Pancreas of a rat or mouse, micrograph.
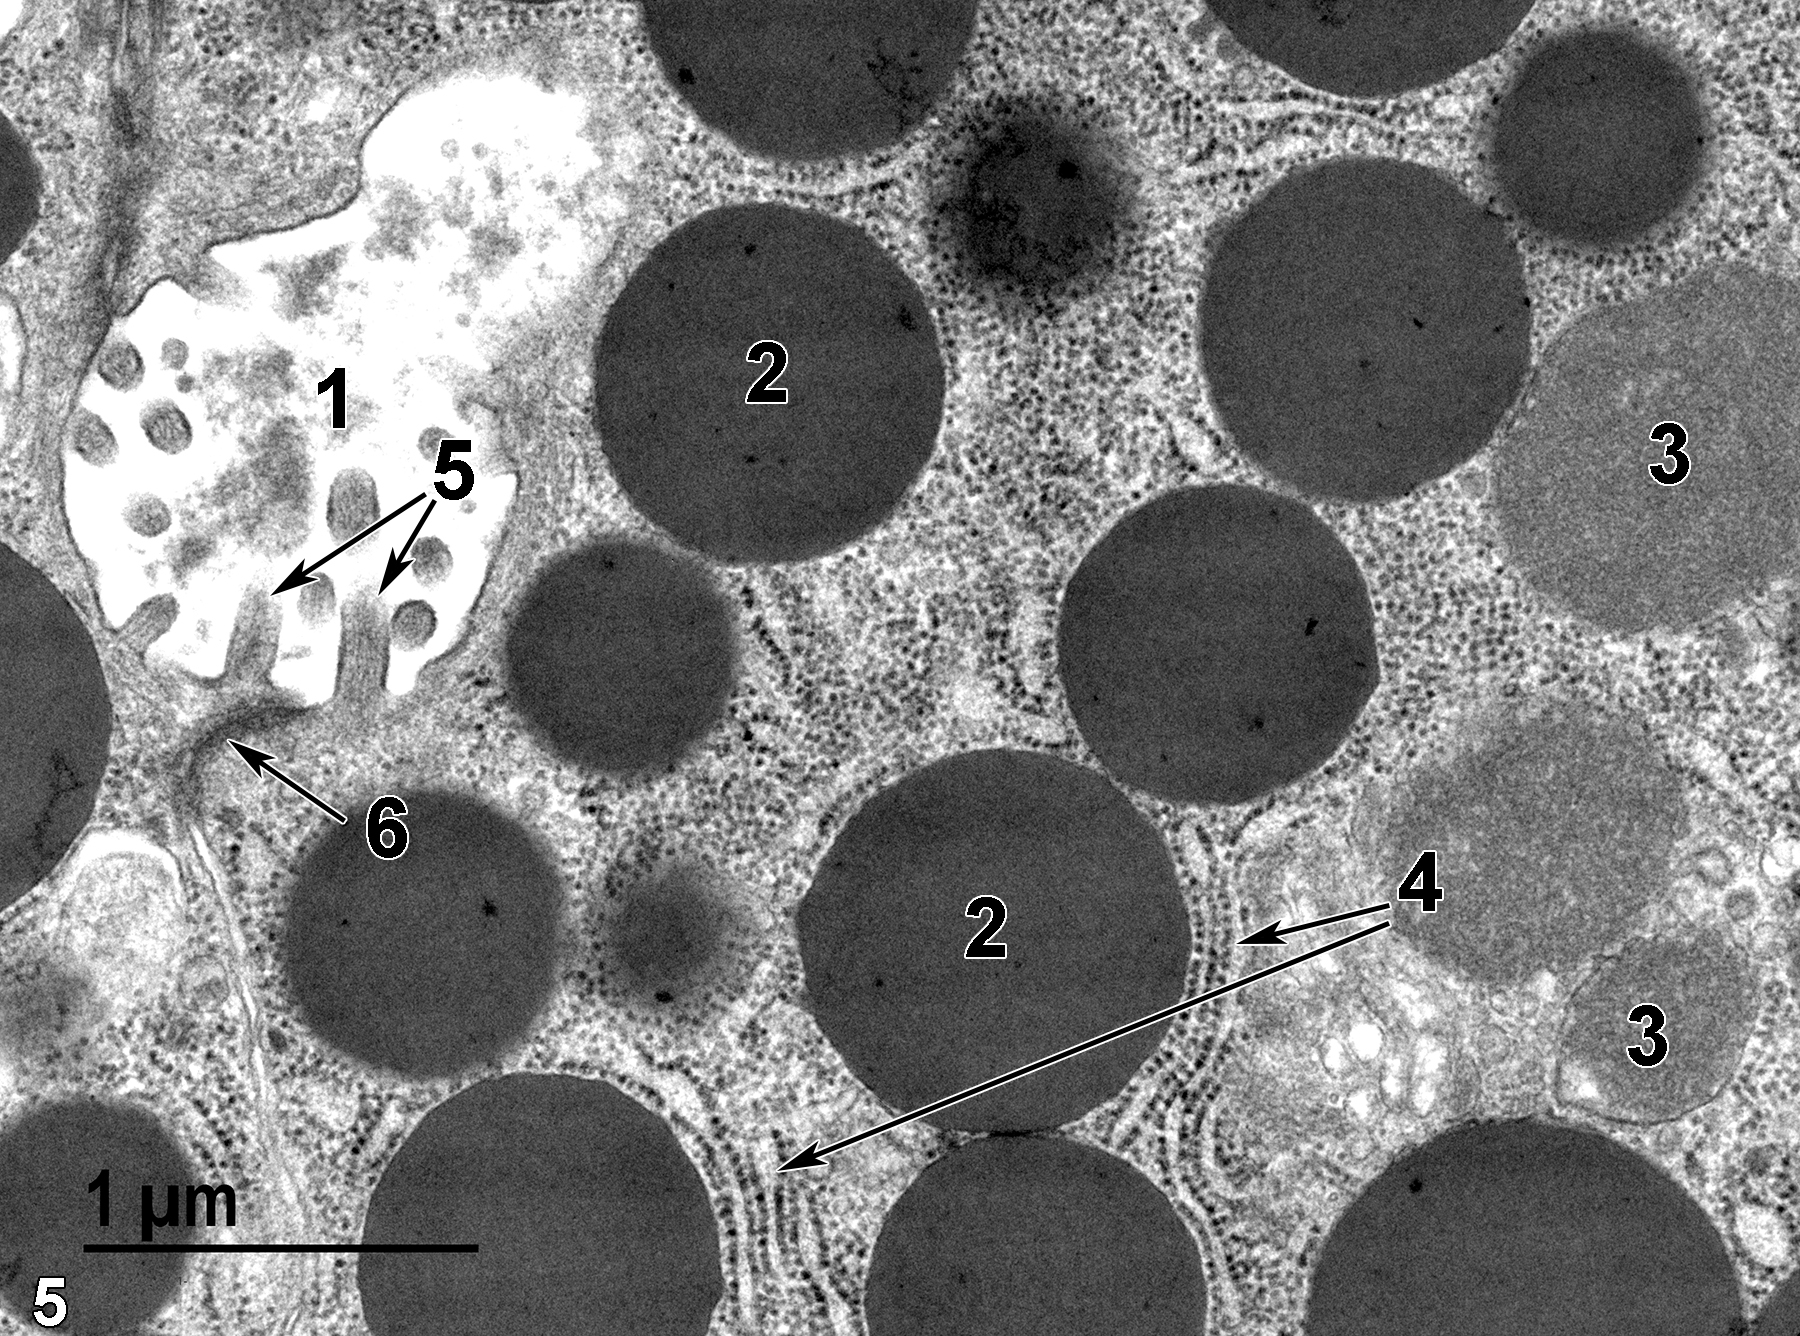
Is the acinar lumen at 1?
Yes.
